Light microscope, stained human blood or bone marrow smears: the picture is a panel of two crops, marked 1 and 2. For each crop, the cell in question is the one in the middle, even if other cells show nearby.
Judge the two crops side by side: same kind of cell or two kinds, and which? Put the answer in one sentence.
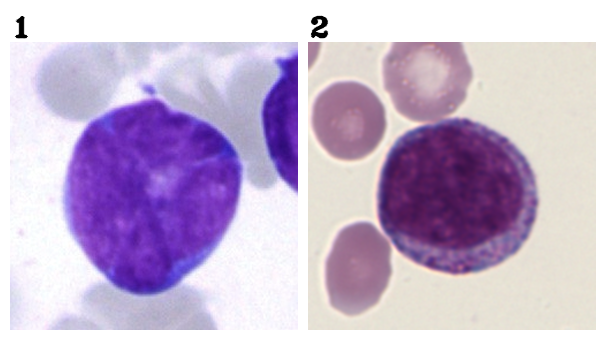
No, a blast is in crop 1, and a promyelocyte is in crop 2.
